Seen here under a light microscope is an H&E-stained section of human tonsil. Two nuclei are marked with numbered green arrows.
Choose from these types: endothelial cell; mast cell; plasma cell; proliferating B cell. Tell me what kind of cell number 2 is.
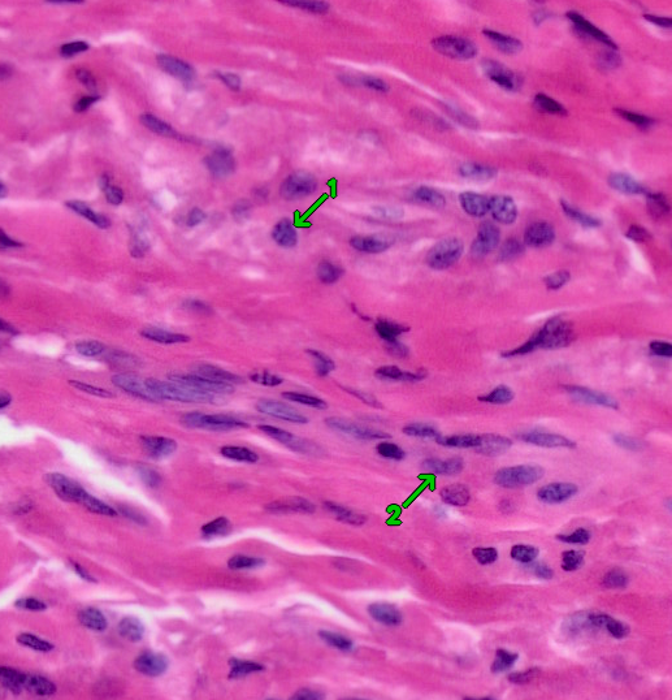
endothelial cell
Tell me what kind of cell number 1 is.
mast cell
